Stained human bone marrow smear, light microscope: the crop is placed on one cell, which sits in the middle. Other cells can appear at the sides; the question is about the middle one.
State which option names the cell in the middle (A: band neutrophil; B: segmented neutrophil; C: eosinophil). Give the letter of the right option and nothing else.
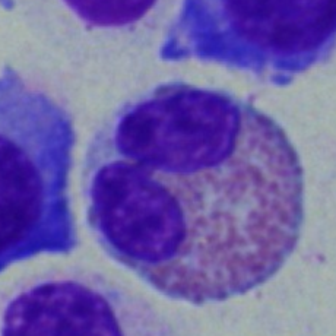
C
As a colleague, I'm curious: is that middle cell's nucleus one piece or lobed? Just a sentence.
Counting the nuclear lobes gives a total of at least two.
